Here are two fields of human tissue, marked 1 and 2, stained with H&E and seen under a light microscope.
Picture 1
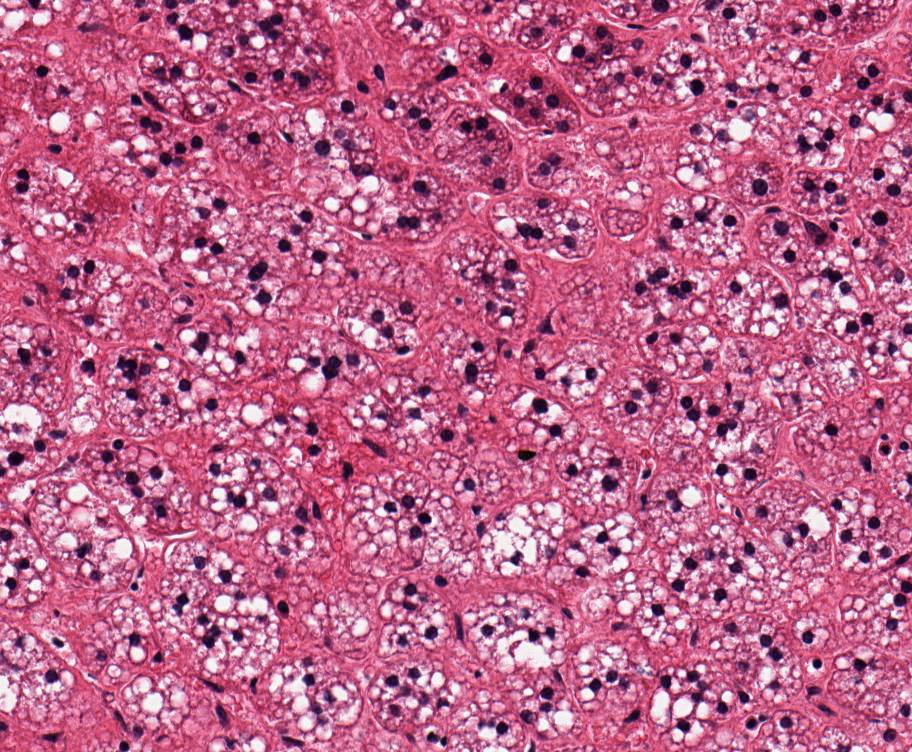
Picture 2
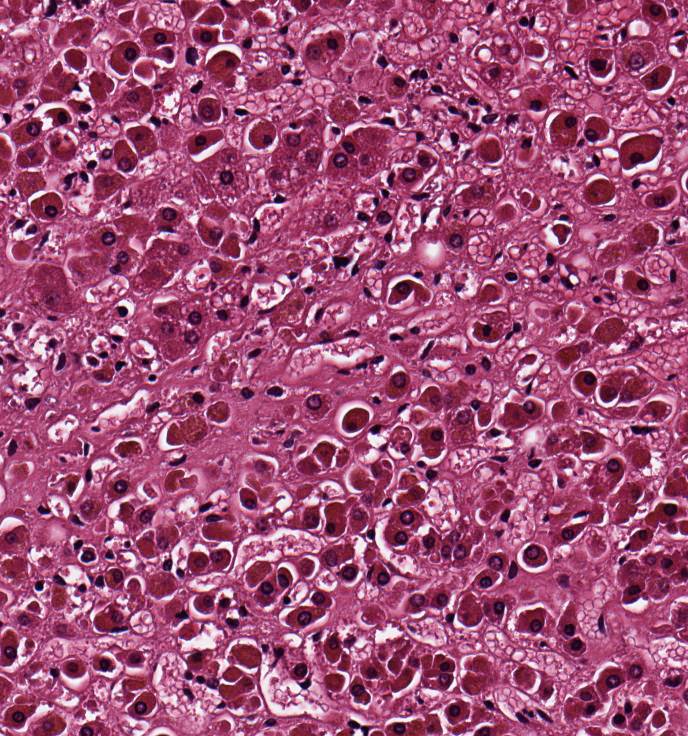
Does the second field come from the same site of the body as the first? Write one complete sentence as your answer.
Yes, both come from the adrenal gland.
